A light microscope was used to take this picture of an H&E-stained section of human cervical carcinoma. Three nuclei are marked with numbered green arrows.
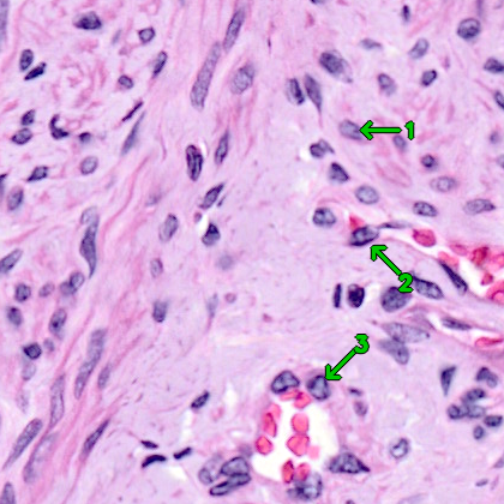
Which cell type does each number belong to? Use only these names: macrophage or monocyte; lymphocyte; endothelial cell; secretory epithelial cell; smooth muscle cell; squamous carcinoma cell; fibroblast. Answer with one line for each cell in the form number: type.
1: smooth muscle cell
2: endothelial cell
3: endothelial cell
